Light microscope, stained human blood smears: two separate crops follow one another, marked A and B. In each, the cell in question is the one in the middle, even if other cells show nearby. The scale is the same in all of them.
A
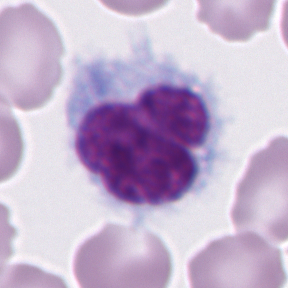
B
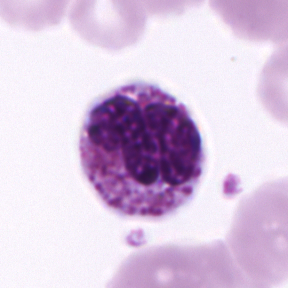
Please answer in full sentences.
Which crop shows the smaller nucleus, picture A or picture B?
Smaller is the nucleus in picture B, and the other is about 1.5 times as large in area.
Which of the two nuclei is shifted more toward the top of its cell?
The nucleus in picture B lies further toward the top of its cell.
